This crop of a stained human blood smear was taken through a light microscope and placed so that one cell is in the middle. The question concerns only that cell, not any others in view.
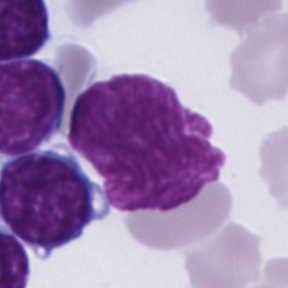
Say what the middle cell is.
myeloblast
